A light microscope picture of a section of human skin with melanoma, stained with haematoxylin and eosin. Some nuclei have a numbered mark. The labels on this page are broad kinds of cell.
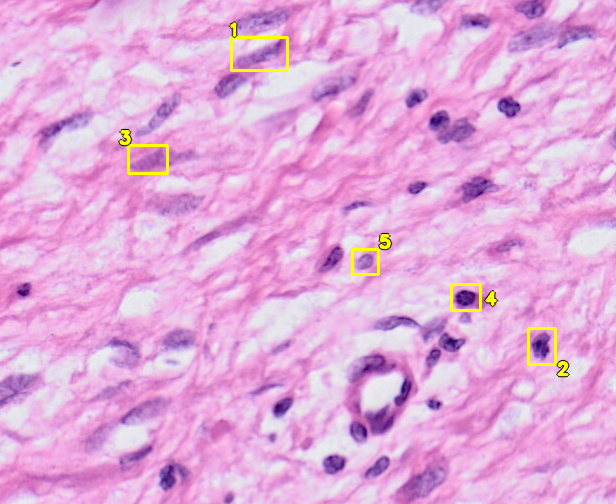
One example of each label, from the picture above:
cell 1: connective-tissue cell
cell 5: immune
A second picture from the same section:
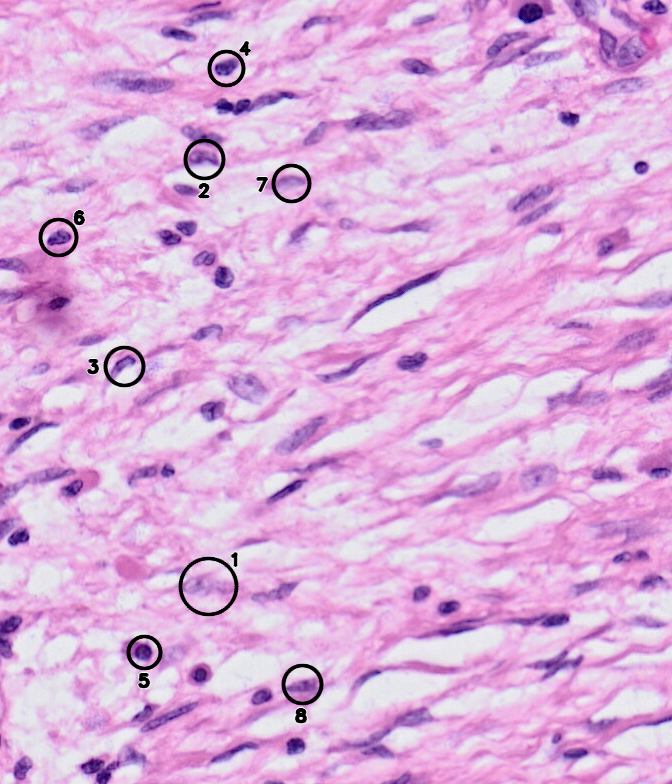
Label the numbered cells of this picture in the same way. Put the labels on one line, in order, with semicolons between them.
connective-tissue cell; connective-tissue cell; connective-tissue cell; immune; immune; immune; connective-tissue cell; connective-tissue cell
